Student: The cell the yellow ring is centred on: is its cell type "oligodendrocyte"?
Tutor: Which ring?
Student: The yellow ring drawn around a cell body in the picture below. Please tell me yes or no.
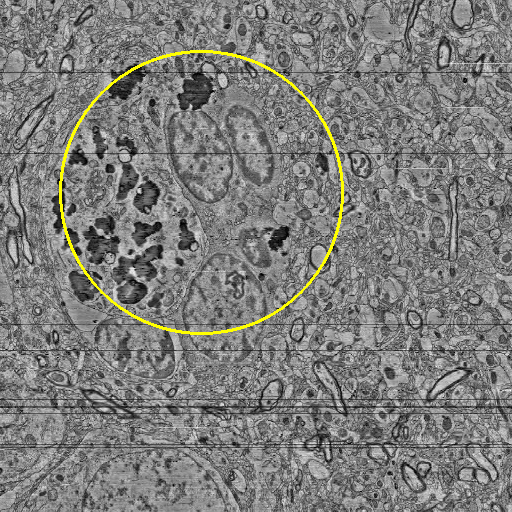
yes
